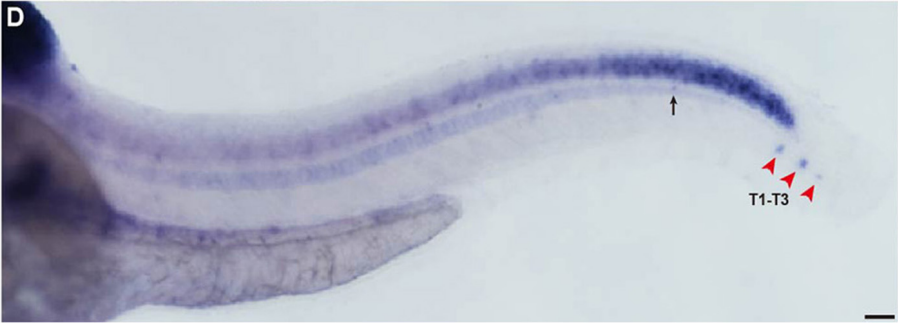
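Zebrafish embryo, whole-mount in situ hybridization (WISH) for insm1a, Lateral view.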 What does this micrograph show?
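At the tail tip, beyond the end of the stained spinal cord, three small purple dots form a cluster of terminal neuromasts. The yolk extension lies as a pale, textured mass beneath the anterior trunk, and the fin fold around the tail is unstained.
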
